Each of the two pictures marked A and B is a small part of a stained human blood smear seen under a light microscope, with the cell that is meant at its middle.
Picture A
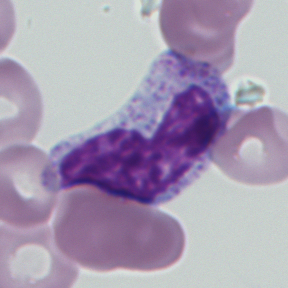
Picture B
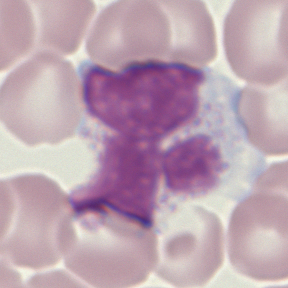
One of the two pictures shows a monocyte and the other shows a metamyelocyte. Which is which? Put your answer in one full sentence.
In picture A the cell is a metamyelocyte; in picture B, a monocyte.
